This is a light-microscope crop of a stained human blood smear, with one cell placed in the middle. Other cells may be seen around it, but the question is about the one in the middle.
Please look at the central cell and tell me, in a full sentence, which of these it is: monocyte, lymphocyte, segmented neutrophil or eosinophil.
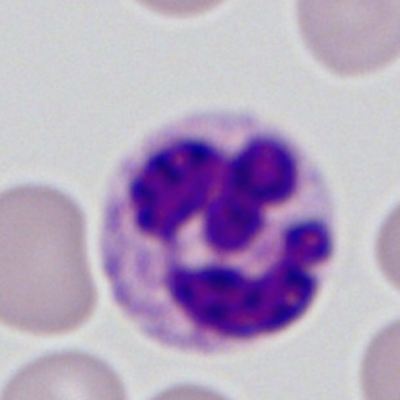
The cell of interest, located centrally, is a segmented neutrophil.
